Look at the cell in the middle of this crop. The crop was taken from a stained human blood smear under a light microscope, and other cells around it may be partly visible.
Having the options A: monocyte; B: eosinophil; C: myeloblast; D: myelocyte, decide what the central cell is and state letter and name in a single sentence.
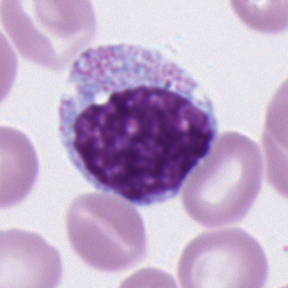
In the centre of the crop there is a myelocyte, making option D correct.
